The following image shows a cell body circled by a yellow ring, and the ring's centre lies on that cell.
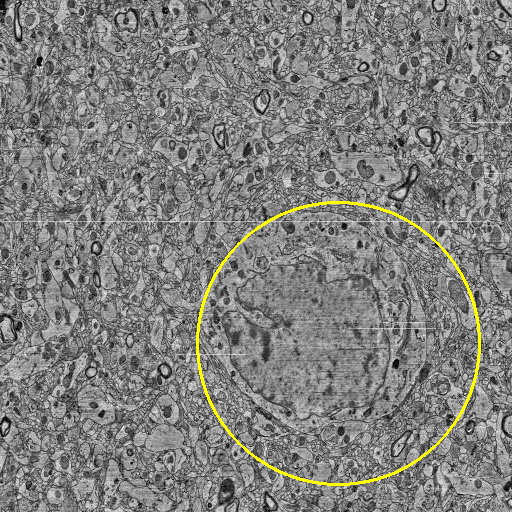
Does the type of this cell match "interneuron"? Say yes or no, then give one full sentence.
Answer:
Yes, the type matches for the cell at the ring's centre in this picture.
